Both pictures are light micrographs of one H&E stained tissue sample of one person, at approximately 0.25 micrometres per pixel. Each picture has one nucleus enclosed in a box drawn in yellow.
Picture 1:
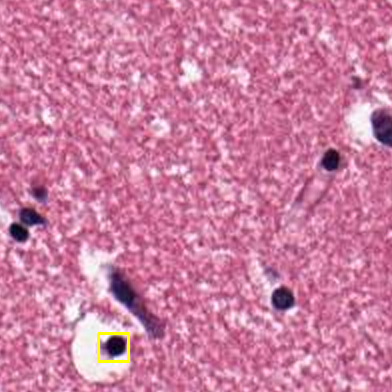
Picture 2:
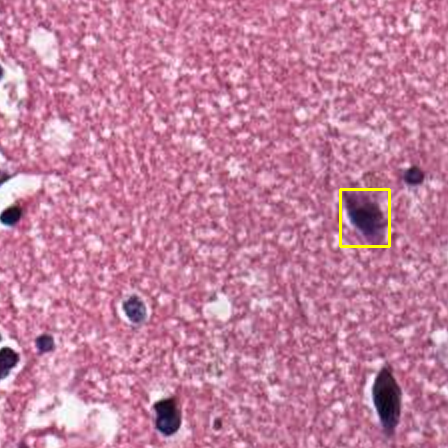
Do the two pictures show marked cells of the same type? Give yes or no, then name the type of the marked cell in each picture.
No, the first is an oligodendrocyte and the second a neuron.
